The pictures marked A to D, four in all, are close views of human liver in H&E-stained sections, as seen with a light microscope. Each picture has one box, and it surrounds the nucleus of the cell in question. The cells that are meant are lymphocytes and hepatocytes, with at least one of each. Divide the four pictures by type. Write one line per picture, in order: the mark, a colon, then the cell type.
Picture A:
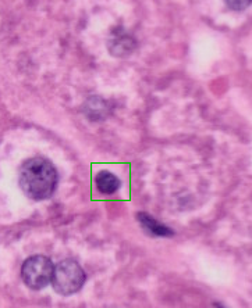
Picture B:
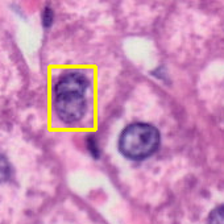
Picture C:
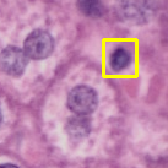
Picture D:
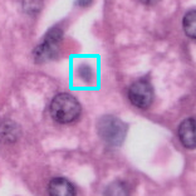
A: lymphocyte
B: hepatocyte
C: lymphocyte
D: lymphocyte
